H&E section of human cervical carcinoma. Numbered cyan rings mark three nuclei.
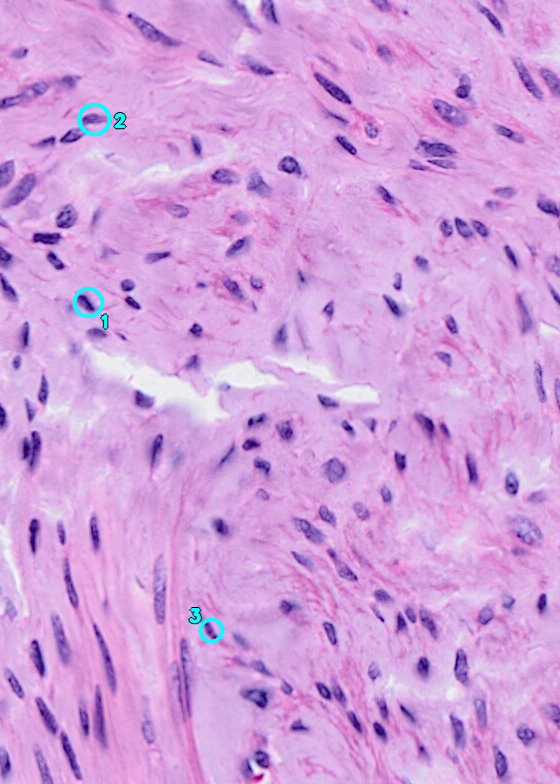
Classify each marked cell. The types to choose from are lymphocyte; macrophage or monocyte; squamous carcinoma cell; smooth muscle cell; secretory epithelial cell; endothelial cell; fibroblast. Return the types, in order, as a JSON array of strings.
["fibroblast", "fibroblast", "smooth muscle cell"]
